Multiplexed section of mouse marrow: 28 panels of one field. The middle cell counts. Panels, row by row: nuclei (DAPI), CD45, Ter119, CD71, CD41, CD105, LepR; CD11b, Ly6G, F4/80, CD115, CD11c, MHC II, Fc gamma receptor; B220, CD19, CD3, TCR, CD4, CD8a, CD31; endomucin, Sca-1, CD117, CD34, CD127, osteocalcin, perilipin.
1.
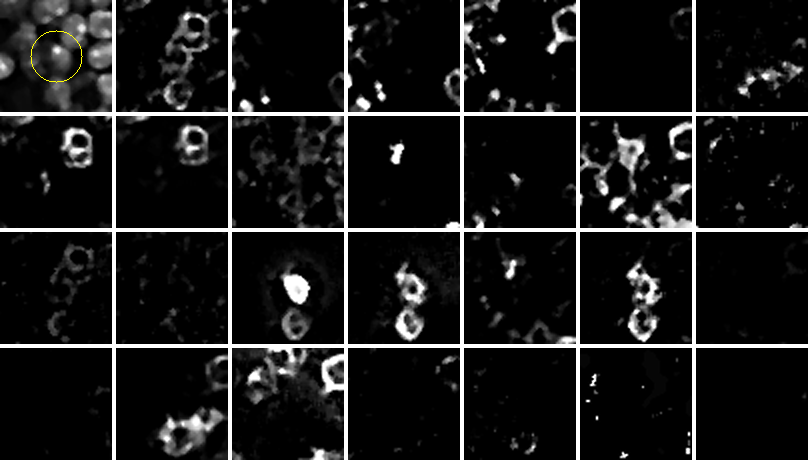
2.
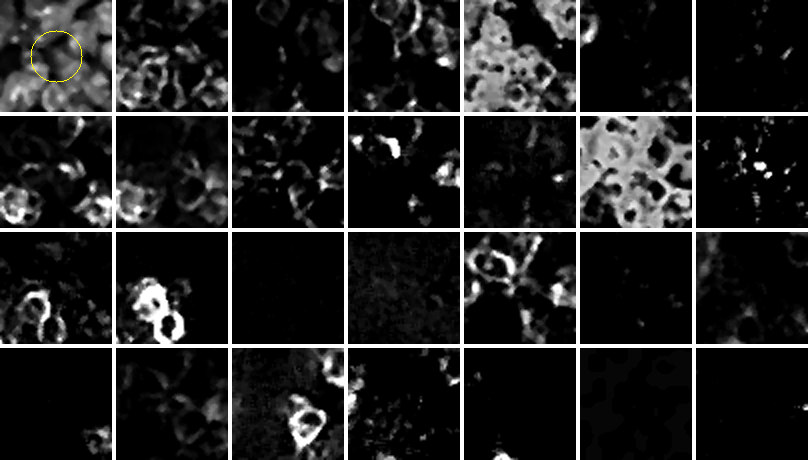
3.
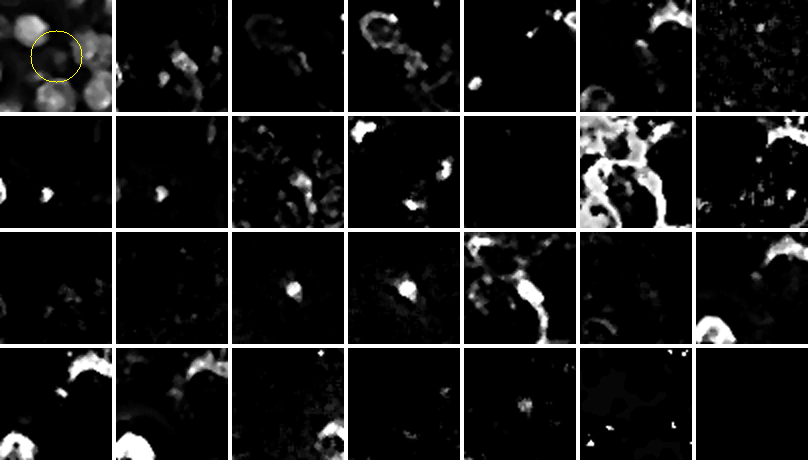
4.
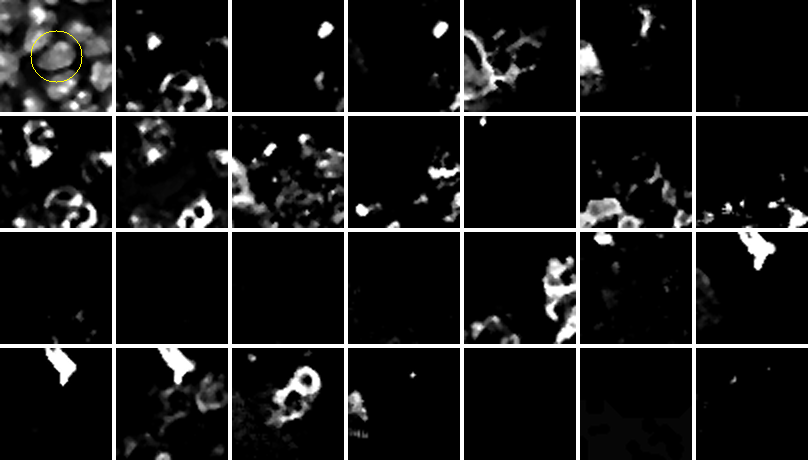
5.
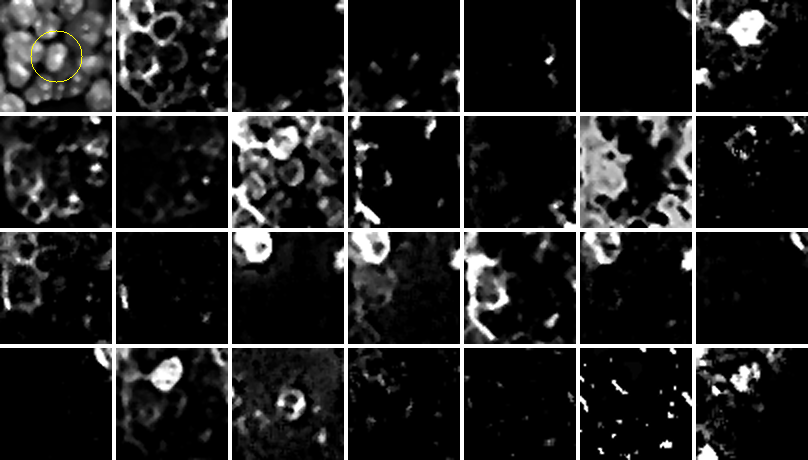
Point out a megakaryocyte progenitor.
That is picture 2.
